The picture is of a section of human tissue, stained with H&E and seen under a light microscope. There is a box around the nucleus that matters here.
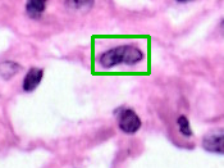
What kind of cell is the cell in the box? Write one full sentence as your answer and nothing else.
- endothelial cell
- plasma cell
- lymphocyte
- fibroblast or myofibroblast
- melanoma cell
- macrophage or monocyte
Speaking plainly, the cell in the box is nothing other than a macrophage or monocyte.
